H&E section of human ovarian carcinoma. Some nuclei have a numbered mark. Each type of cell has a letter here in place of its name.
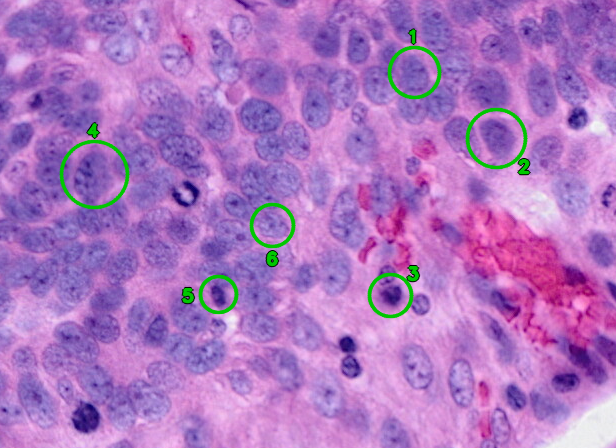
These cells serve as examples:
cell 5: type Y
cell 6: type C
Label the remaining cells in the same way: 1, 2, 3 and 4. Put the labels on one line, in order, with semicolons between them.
type C; type C; type Y; type C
